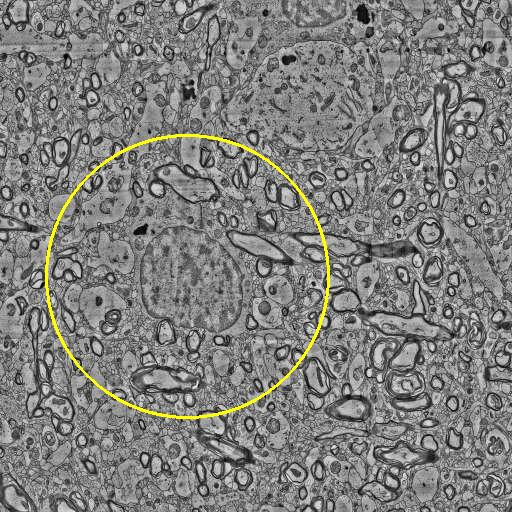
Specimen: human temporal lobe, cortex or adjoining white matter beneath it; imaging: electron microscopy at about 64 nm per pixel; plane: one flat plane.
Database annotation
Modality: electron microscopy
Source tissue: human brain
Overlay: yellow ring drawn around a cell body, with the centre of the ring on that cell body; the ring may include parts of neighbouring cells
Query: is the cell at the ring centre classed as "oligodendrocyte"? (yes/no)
yes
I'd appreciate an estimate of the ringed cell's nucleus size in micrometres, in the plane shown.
In this plane the nucleus is about 8 micrometres by 7.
